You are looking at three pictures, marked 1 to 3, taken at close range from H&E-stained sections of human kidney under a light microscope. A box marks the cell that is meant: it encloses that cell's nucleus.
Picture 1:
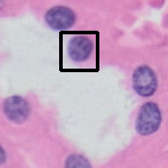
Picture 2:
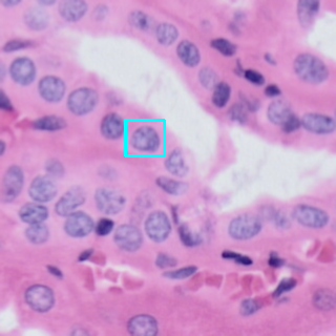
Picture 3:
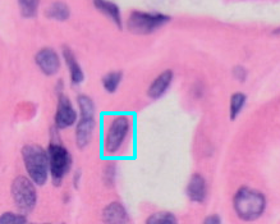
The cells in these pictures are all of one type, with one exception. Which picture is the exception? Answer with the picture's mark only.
2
